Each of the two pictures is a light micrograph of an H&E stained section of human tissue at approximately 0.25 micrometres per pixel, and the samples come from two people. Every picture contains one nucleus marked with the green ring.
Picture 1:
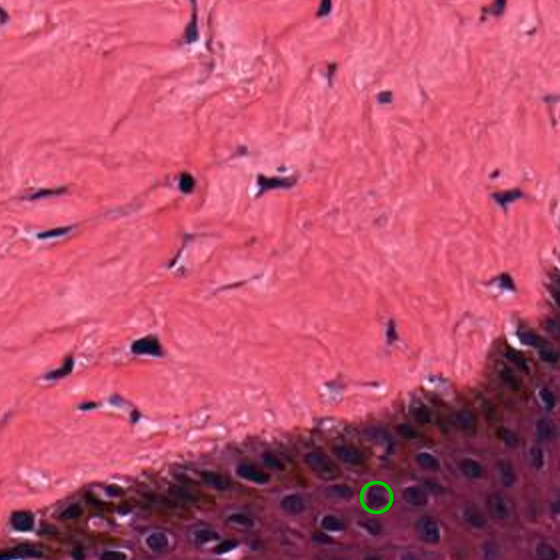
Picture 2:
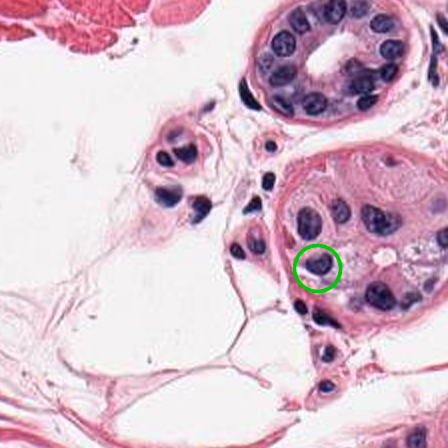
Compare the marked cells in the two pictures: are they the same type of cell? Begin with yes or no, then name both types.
No, the first is a keratinocyte and the second a sweat gland cell.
